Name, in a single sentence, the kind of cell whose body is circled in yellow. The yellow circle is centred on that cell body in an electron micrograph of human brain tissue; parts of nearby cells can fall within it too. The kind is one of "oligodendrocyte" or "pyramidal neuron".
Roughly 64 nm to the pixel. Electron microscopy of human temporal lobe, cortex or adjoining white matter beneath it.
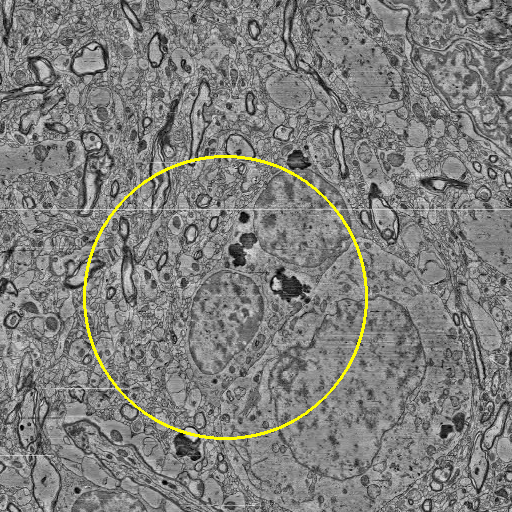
The circled cell body belongs to an oligodendrocyte.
